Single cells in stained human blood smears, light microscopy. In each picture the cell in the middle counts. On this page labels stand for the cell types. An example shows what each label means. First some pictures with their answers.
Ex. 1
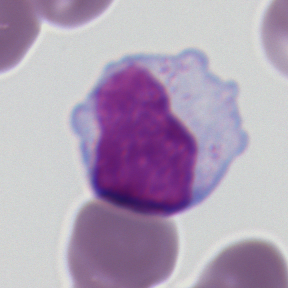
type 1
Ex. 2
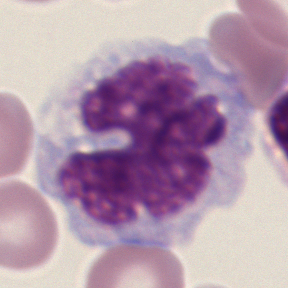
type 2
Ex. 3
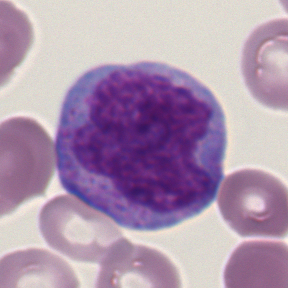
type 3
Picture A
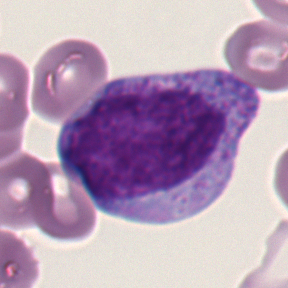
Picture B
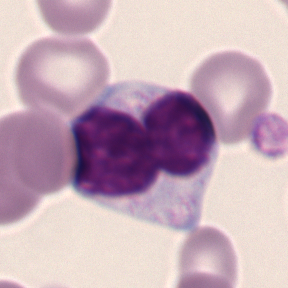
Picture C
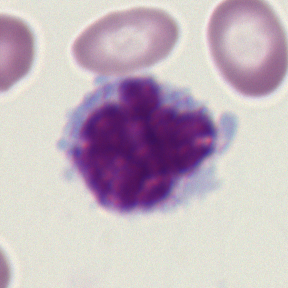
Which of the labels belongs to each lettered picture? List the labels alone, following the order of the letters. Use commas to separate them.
type 3, type 1, type 1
